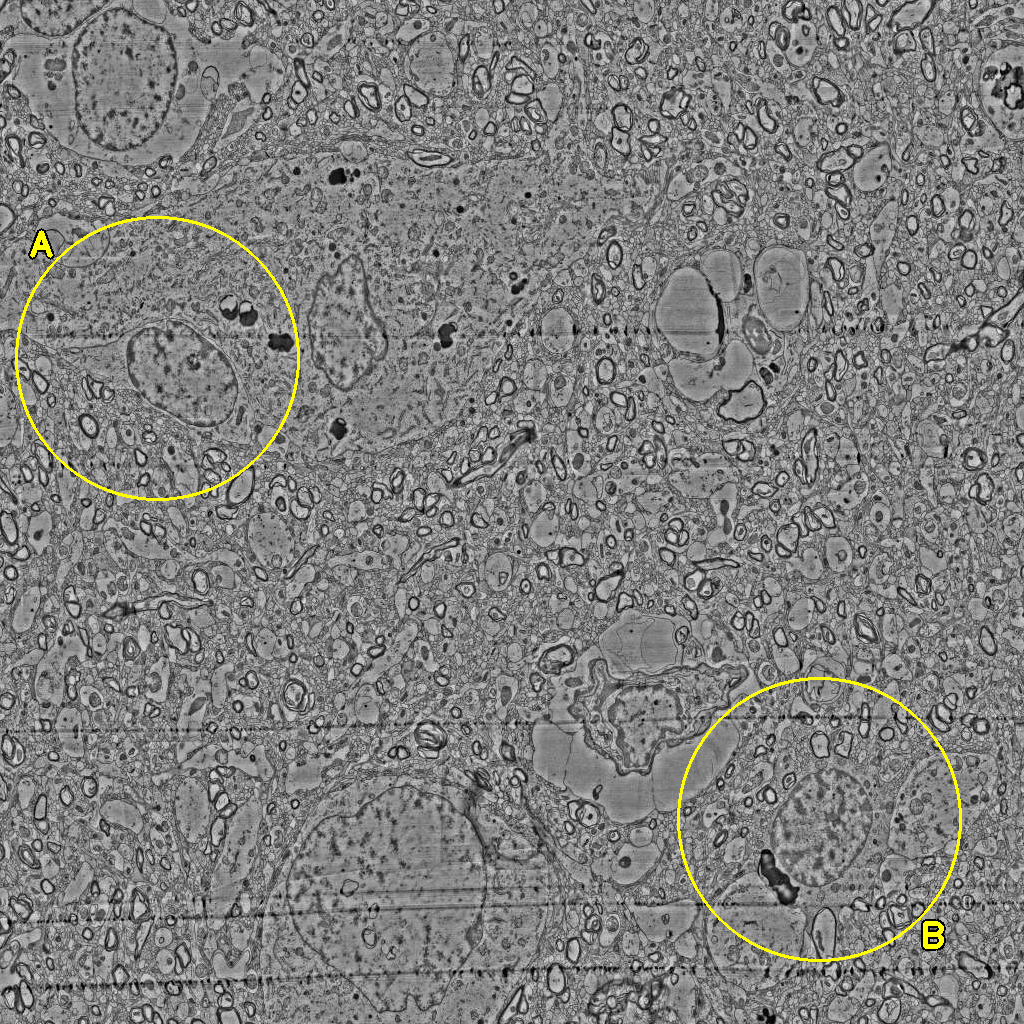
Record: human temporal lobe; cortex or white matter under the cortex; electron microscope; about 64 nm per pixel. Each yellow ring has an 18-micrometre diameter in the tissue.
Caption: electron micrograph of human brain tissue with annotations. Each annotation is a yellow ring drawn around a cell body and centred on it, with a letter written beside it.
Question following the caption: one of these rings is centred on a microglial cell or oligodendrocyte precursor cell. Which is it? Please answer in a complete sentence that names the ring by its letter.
The ring with the letter A is centred on it.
